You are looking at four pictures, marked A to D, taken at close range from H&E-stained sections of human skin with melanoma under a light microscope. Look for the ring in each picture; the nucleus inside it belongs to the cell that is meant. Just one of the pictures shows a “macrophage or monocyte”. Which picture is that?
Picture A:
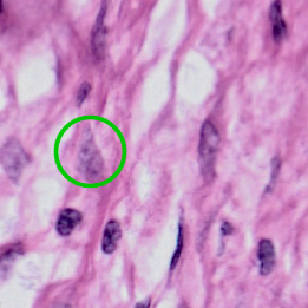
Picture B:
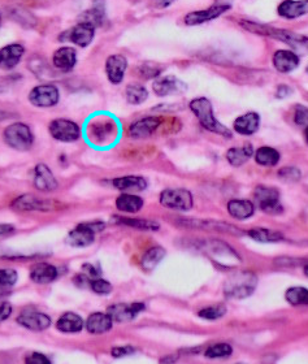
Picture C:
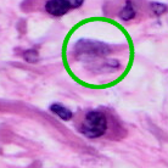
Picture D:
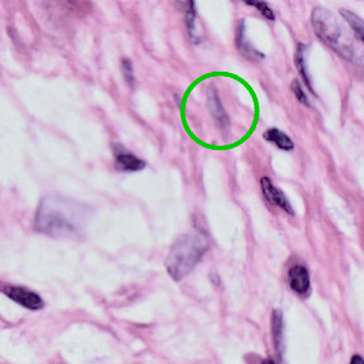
B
